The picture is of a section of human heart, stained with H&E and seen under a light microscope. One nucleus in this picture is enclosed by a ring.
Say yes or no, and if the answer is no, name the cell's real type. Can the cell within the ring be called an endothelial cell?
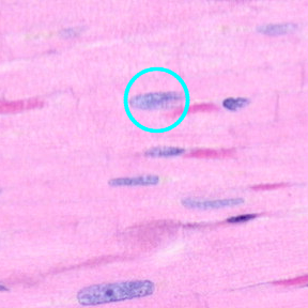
No, it is a cardiomyocyte.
